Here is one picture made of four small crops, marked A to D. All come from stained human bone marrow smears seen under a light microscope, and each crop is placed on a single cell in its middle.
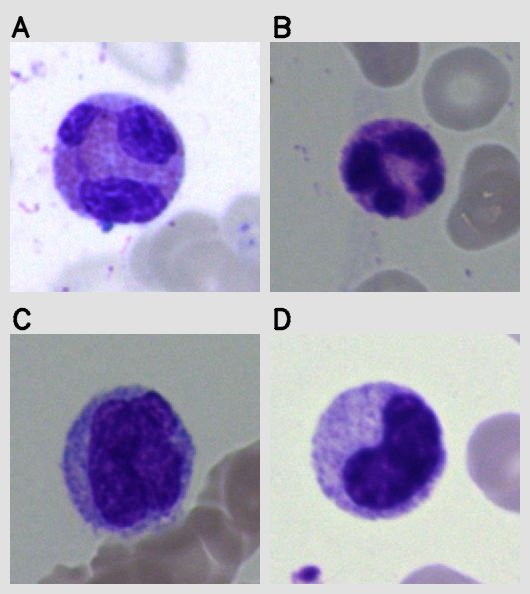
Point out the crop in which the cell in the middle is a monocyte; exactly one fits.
C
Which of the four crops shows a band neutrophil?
D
